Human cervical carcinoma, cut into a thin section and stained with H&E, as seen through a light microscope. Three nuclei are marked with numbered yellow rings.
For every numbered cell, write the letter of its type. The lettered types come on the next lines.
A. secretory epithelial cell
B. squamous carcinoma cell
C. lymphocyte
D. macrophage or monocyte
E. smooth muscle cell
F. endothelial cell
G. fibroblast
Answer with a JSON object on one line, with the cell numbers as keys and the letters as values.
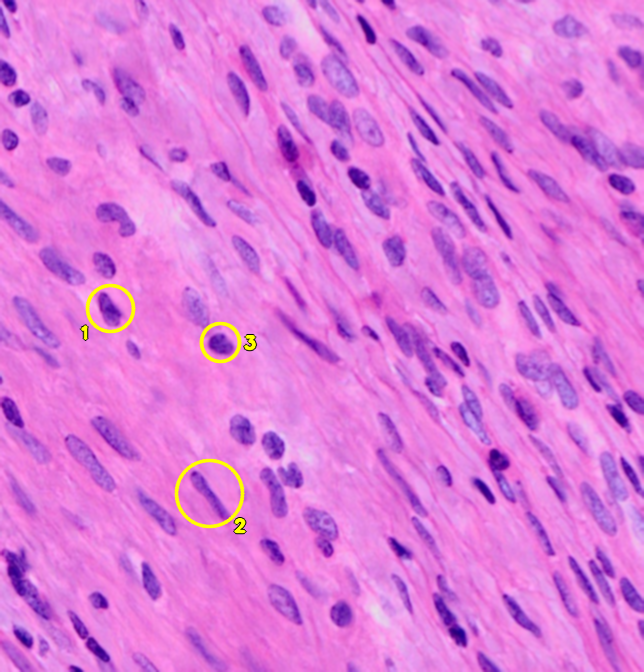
{"1": "C", "2": "G", "3": "C"}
